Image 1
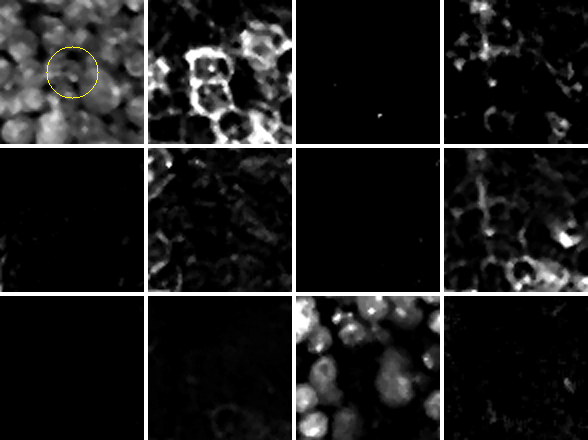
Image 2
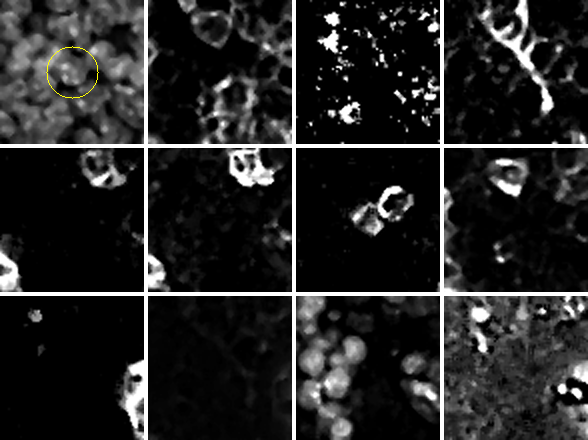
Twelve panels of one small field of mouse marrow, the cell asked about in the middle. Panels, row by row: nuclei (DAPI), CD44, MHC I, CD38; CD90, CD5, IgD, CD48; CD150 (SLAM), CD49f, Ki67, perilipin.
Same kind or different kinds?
Different: the first is a neutrophil, the second a capillary endothelial cell.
